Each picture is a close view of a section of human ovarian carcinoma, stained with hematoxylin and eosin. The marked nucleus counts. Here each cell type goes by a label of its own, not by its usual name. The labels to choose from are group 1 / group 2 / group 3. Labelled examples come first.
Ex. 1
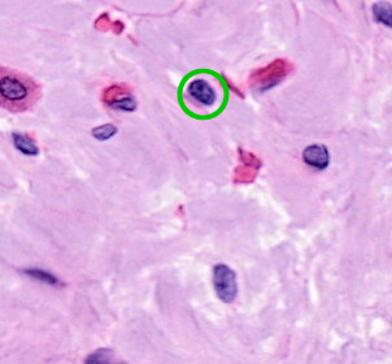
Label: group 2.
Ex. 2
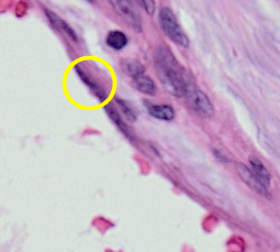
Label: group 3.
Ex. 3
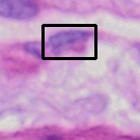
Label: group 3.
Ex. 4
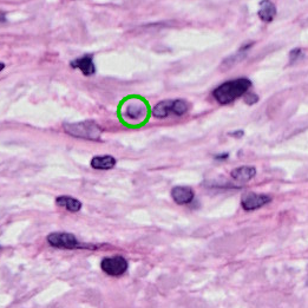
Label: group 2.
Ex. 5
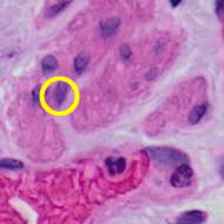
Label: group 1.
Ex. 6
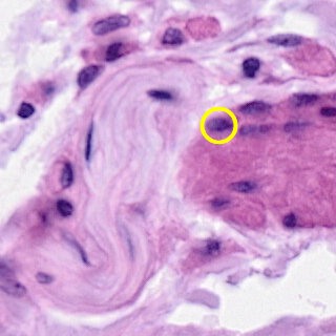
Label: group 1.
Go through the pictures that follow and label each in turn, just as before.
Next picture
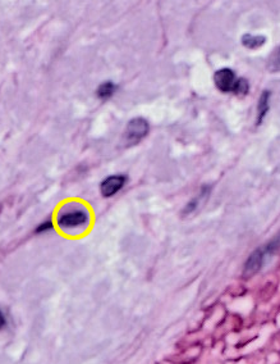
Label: group 2.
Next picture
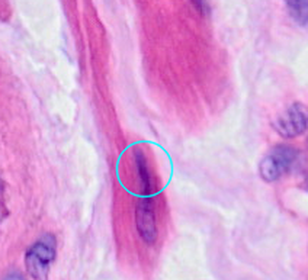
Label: group 1.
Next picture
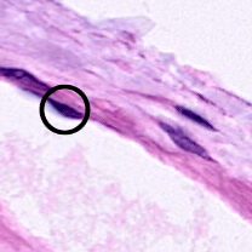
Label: group 3.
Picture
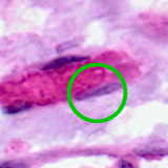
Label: group 3.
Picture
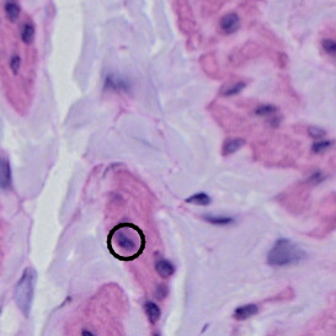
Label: group 1.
